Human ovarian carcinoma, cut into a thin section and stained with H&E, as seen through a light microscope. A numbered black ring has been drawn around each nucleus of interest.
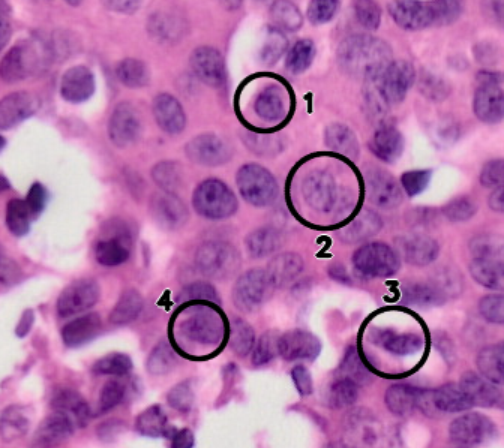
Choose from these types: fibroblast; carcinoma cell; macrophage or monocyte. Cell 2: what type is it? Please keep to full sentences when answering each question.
At number 2, the marked cell is a carcinoma cell.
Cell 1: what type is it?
The cell pointed out by number 1 is a macrophage or monocyte.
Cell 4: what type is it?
The cell pointed out as number 4 is a carcinoma cell.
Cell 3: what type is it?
In this section, the cell tagged 3 is a carcinoma cell.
